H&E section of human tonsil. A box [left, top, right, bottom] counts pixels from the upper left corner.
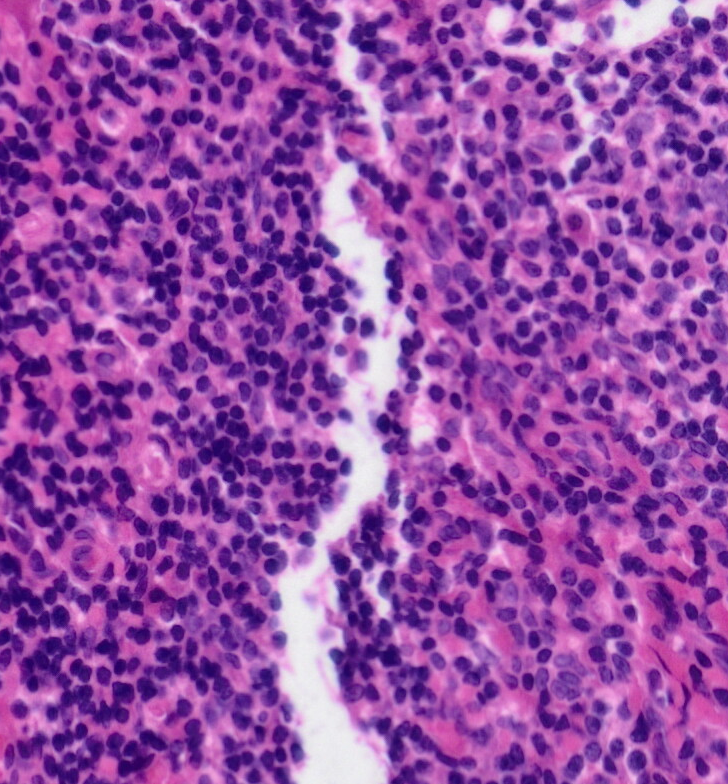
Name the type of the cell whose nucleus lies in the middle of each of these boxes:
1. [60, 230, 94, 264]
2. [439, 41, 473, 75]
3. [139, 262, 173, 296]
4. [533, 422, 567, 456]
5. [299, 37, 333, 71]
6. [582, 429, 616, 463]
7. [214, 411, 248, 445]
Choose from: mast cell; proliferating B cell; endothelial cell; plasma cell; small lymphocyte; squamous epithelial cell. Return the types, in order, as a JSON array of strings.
["small lymphocyte", "plasma cell", "small lymphocyte", "endothelial cell", "small lymphocyte", "endothelial cell", "small lymphocyte"]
